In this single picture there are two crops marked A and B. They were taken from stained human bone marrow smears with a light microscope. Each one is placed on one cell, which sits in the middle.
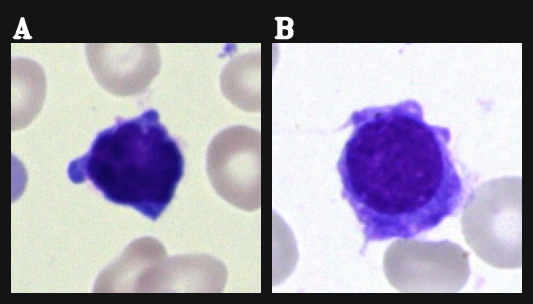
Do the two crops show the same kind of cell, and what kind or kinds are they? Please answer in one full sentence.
Yes, lymphocytes are shown in both crops.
